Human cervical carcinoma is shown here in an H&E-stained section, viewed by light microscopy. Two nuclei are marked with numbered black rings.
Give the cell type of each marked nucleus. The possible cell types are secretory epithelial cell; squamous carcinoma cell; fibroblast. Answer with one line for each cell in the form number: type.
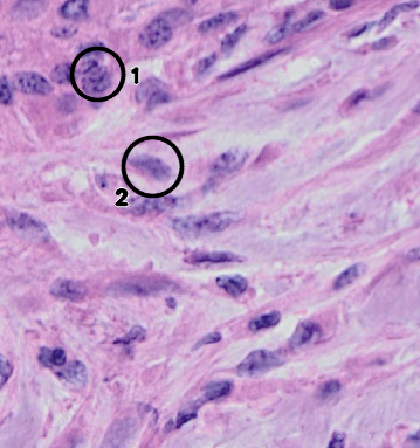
1: squamous carcinoma cell
2: fibroblast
